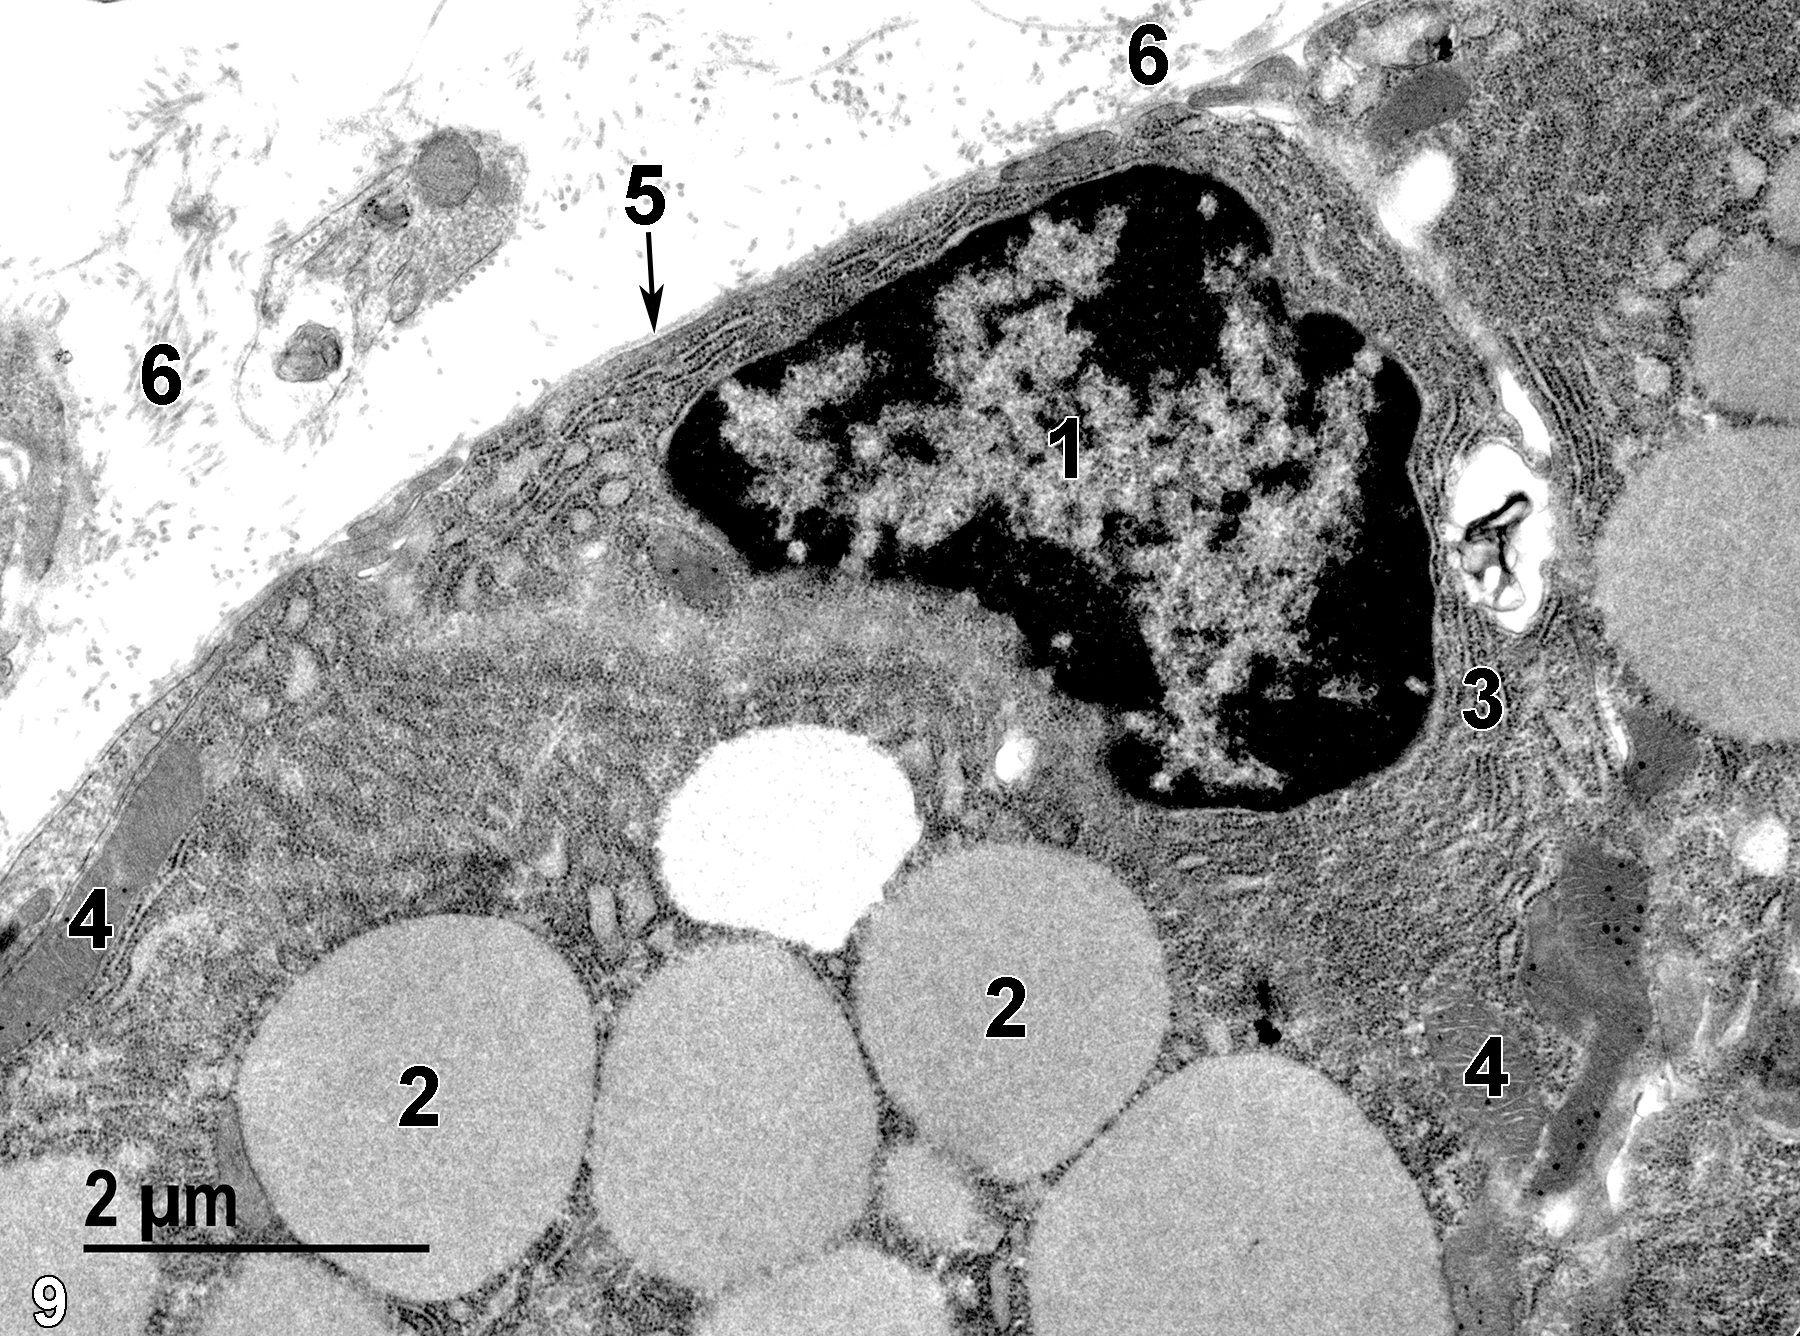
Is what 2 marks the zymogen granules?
Yes, 2 marks the zymogen granules.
